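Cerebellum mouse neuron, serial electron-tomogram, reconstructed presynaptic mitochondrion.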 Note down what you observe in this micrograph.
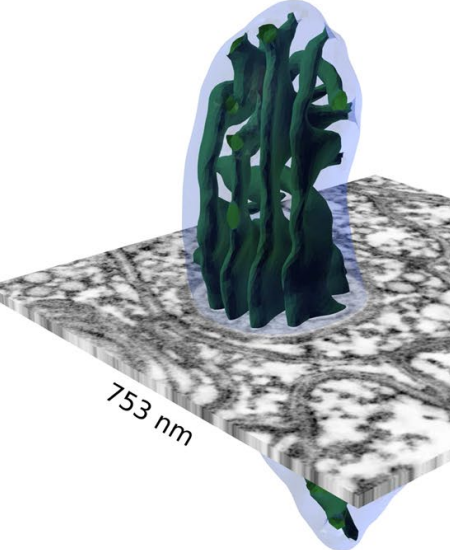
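A translucent blue shell marks the elongated outer boundary of the organelle, and inside it green, partly tubular and partly sheet-like folds of inner membrane run lengthwise and branch, with small openings where they connect. Part of the organelle continues below the slice.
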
